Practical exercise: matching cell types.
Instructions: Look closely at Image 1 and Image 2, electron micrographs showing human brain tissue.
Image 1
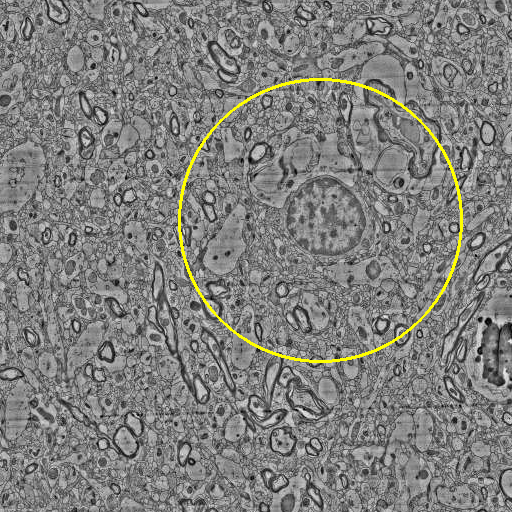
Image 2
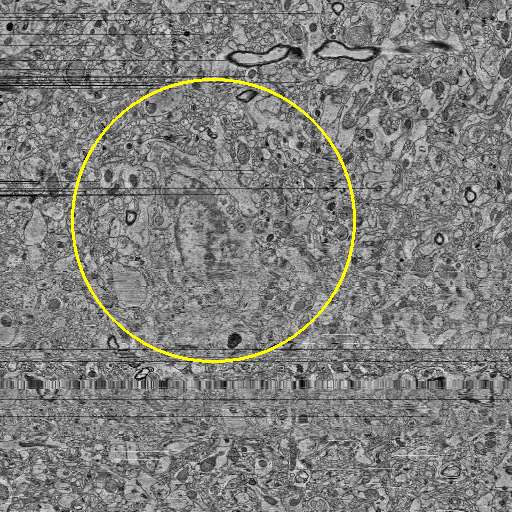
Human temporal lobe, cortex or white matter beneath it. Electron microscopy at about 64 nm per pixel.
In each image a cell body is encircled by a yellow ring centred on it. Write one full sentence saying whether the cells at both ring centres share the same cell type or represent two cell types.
Across Image 1 and Image 2, the cells at the ring centres represent two cell types.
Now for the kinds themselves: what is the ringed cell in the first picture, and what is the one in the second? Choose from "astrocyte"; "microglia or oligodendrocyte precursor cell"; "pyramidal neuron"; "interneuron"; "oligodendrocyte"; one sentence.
Here the first cell is an oligodendrocyte and the second cell is an interneuron.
